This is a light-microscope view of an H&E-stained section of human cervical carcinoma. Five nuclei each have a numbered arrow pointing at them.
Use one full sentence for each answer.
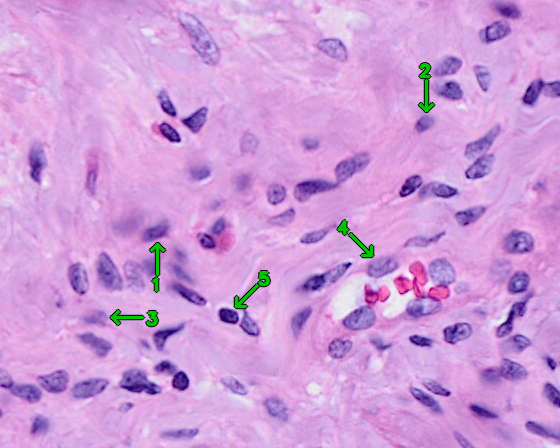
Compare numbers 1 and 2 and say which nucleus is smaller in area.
Number 2 is smaller, since number 1 takes up about 1.5 times as much area.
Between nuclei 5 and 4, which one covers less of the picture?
Nucleus 5 covers less area, with nucleus 4 about 2 times as large.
